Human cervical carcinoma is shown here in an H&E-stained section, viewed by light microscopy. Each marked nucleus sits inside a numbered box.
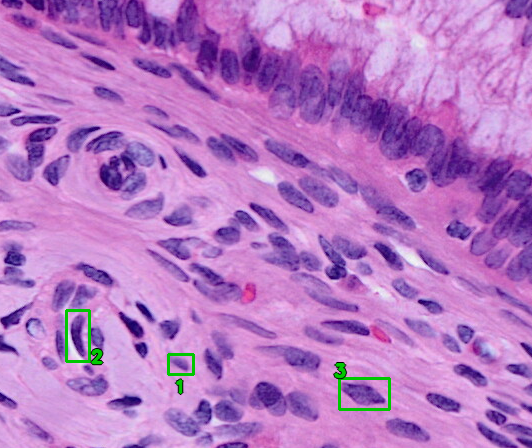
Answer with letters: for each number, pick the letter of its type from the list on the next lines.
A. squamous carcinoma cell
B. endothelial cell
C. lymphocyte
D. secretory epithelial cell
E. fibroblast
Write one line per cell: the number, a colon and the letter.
1: E
2: B
3: E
